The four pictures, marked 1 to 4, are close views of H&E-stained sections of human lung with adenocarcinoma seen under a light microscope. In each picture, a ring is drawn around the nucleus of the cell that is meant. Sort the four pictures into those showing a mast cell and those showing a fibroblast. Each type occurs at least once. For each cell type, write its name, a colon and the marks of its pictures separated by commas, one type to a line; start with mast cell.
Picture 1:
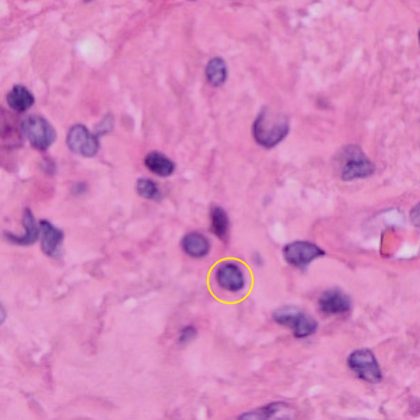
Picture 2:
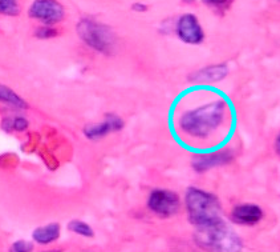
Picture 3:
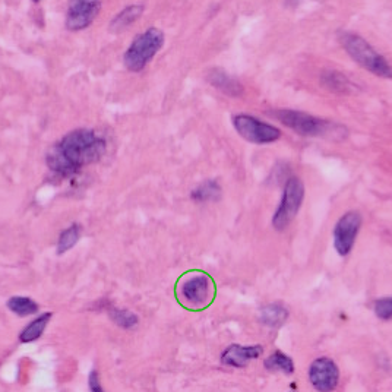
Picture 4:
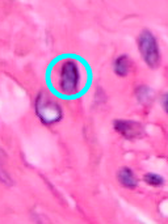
mast cell: 1, 3, 4
fibroblast: 2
